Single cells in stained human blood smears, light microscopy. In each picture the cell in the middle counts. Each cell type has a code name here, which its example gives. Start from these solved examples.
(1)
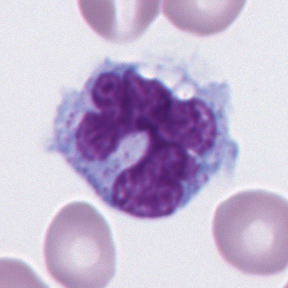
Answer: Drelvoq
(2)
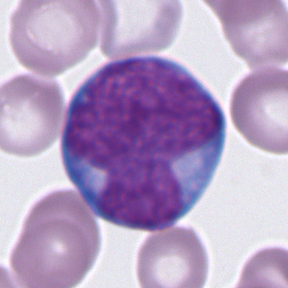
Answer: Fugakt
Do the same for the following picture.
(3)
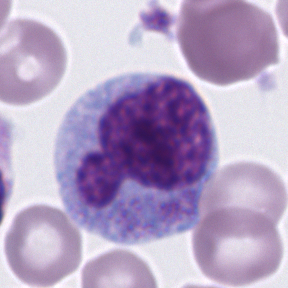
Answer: Drelvoq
